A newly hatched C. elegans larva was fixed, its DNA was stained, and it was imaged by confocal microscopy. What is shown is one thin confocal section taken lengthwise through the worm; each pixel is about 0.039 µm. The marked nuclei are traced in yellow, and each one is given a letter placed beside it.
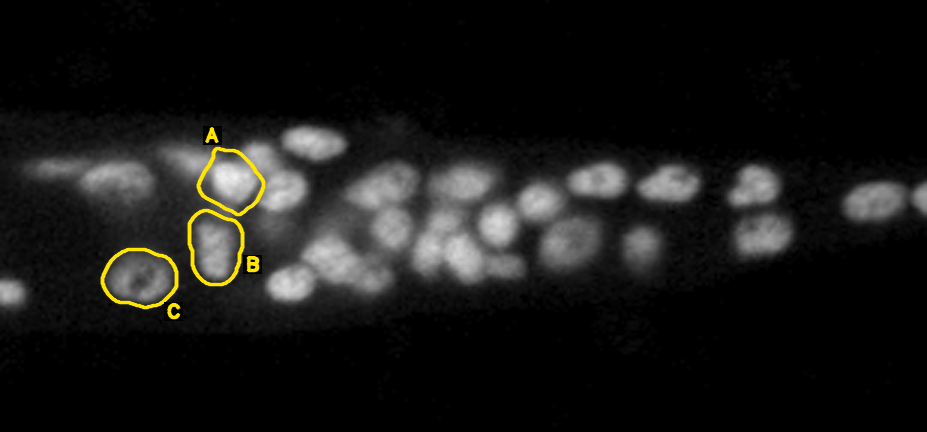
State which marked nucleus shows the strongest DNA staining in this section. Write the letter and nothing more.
A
